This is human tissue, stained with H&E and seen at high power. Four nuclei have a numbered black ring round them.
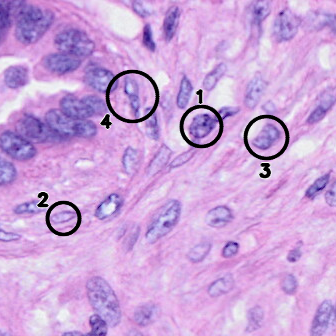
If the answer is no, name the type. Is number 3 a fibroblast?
Yes.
